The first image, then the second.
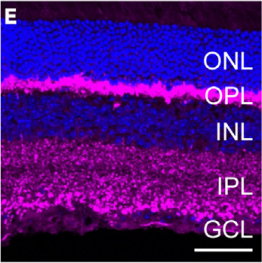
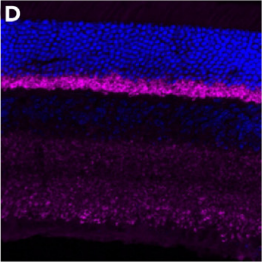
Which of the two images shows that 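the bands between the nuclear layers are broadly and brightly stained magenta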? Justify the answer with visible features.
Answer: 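The first image. First image: a bright, thick magenta band below the outer nuclear layer and a dense, bright magenta band filling the broad inner nucleus-poor layer.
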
